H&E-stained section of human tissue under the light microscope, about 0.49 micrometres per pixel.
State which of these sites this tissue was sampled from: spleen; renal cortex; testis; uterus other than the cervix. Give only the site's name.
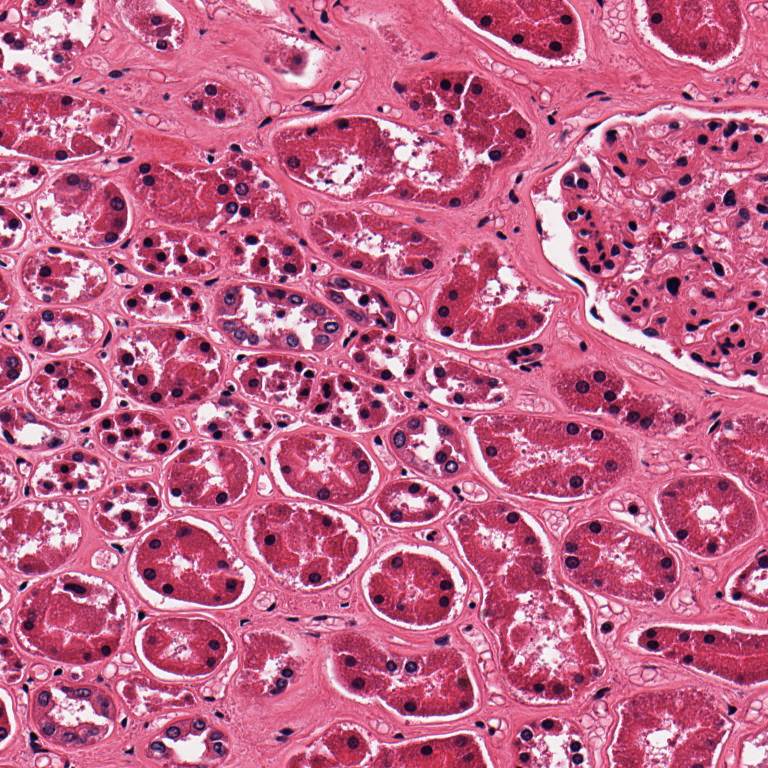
renal cortex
